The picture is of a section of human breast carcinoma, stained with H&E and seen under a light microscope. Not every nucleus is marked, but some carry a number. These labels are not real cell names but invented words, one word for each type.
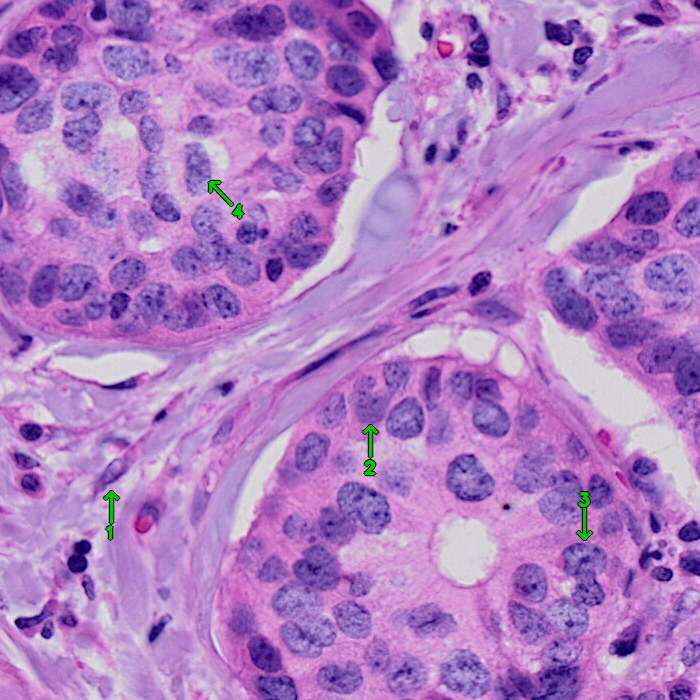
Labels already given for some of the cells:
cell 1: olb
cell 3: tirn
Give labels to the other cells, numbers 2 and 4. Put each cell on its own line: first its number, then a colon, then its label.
2: tirn
4: tirn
